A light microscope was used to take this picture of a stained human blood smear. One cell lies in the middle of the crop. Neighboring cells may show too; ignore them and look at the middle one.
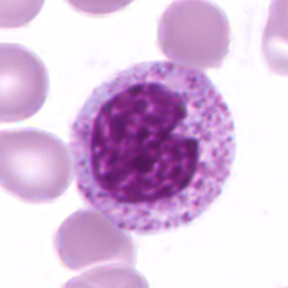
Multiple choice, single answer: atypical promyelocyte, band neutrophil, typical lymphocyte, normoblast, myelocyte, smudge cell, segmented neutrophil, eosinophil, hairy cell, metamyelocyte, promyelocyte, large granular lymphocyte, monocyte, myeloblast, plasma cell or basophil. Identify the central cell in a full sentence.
Looking at the middle of the crop, the cell there is a band neutrophil.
